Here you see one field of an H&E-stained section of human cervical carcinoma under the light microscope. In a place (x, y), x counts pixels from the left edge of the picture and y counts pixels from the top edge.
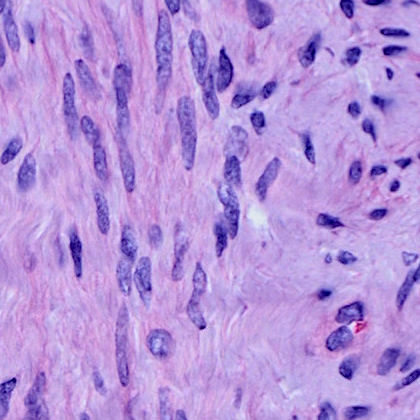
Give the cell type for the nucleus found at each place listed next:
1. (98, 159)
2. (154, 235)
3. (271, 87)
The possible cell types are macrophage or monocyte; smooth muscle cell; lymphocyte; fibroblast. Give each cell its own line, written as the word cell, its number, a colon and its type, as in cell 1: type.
cell 1: smooth muscle cell
cell 2: smooth muscle cell
cell 3: fibroblast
